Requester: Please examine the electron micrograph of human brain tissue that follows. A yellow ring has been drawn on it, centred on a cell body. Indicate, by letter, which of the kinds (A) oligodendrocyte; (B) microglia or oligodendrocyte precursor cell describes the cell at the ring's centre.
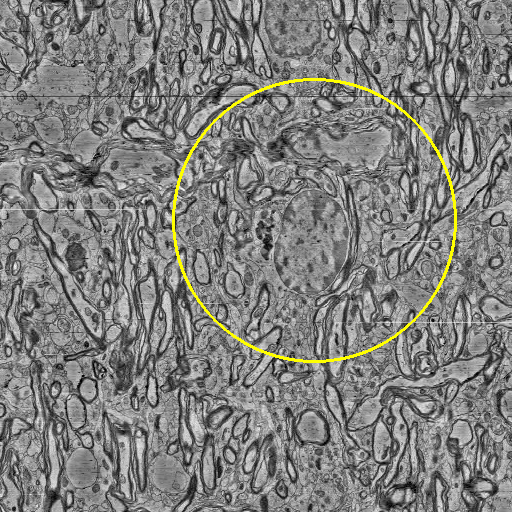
B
